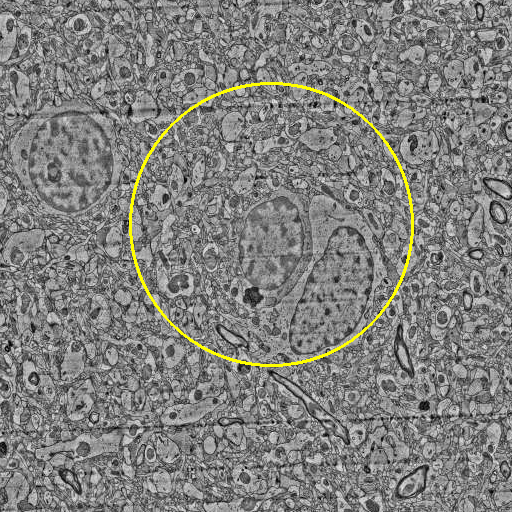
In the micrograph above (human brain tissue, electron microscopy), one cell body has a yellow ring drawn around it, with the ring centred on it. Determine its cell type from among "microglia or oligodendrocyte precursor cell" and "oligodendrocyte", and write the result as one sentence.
The cell whose body is ringed is an oligodendrocyte.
